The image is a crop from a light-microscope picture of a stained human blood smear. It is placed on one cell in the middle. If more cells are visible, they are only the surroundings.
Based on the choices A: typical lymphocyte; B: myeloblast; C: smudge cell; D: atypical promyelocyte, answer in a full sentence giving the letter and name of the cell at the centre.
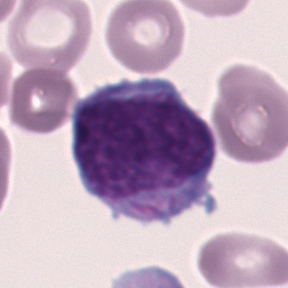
Since the cell in the middle is an atypical promyelocyte, option D is correct.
